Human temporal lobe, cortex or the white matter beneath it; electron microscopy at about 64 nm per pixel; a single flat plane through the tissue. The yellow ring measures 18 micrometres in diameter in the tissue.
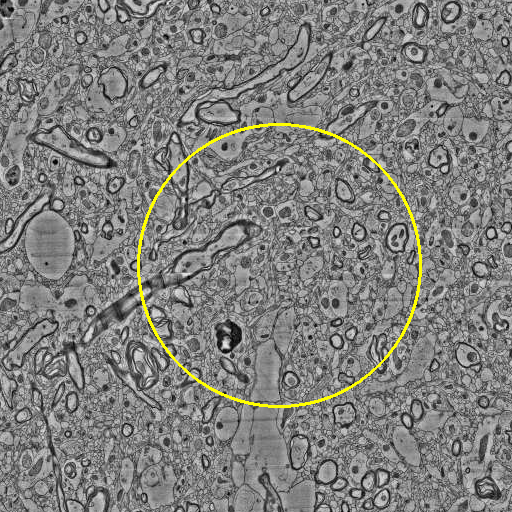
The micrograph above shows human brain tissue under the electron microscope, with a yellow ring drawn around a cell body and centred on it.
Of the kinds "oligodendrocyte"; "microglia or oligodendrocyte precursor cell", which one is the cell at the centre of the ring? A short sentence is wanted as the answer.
The one at the centre of the ring is an oligodendrocyte.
